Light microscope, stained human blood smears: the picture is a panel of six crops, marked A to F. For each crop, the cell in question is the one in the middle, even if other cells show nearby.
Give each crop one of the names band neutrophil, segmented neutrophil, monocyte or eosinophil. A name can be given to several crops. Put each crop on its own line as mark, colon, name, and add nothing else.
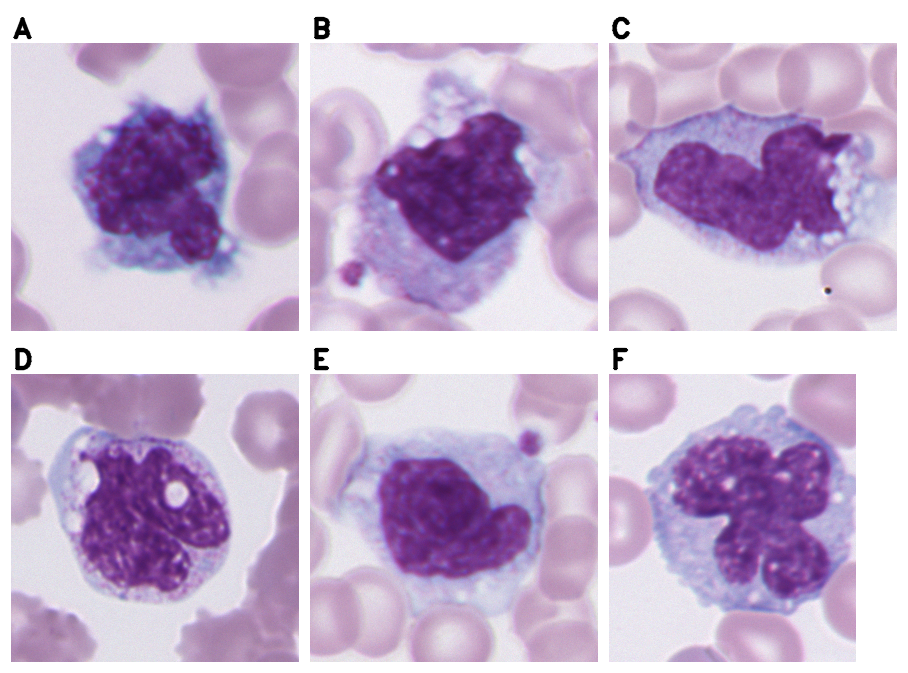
A: monocyte
B: monocyte
C: monocyte
D: monocyte
E: monocyte
F: monocyte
